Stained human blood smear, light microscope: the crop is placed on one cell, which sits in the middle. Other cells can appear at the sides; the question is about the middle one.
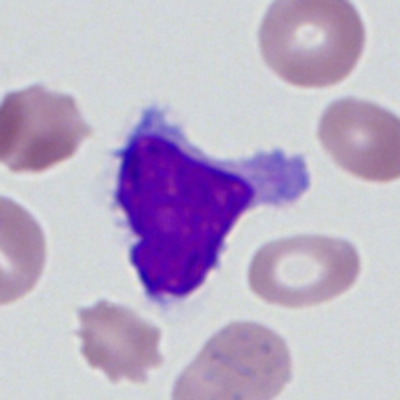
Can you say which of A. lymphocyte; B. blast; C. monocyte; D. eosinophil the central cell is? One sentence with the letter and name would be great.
Option A correctly states that the central cell is a lymphocyte.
